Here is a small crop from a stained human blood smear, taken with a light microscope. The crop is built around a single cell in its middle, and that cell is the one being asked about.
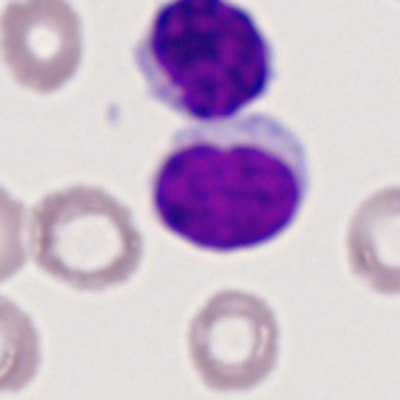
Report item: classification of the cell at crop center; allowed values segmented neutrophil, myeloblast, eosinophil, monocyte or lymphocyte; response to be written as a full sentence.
The middle of this crop is occupied by a lymphocyte.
